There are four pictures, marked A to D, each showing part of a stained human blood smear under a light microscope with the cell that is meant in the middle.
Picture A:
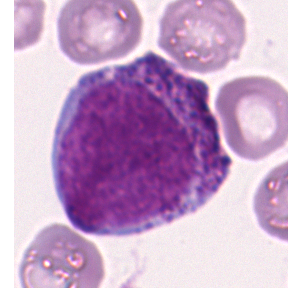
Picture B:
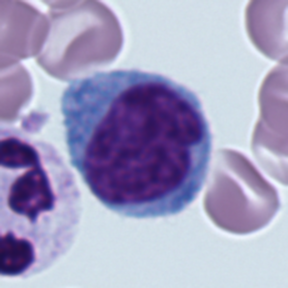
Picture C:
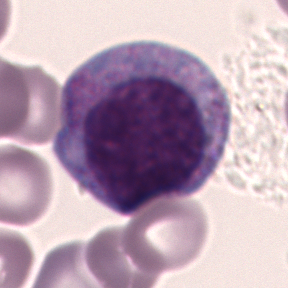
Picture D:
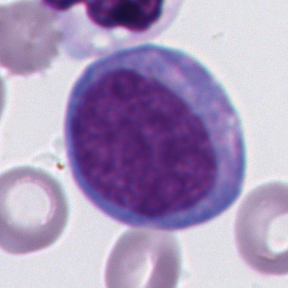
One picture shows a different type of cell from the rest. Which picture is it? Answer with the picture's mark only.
B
